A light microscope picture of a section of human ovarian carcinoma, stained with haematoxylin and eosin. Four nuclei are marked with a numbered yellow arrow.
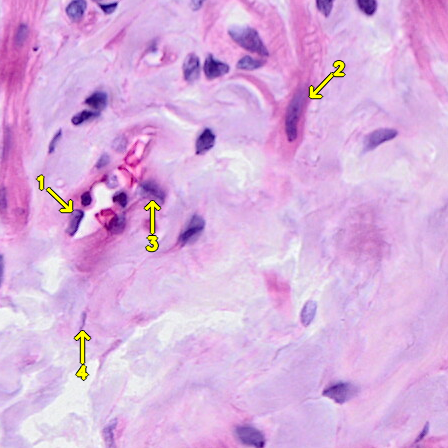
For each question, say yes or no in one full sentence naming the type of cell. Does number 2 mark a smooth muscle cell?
Yes, the cell bearing the number 2 is a smooth muscle cell.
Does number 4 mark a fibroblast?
Yes, the cell whose nucleus carries number 4 is a fibroblast.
